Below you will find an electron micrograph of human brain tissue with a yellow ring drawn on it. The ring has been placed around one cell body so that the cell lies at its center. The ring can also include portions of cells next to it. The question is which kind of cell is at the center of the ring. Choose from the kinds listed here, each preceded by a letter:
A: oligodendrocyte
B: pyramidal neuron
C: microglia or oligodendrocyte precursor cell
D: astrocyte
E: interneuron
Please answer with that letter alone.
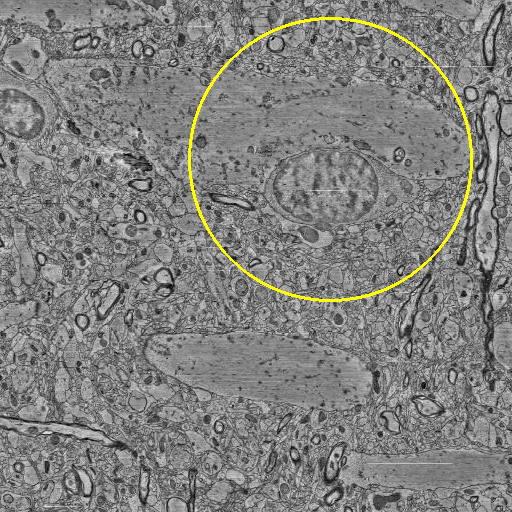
A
